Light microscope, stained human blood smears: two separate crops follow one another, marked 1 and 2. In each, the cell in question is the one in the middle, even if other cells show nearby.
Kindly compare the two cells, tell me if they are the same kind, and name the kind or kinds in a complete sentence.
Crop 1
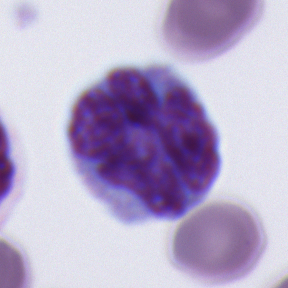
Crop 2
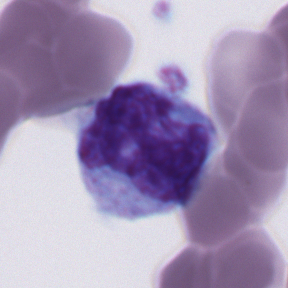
Yes, monocytes lie at the centre of both crops.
